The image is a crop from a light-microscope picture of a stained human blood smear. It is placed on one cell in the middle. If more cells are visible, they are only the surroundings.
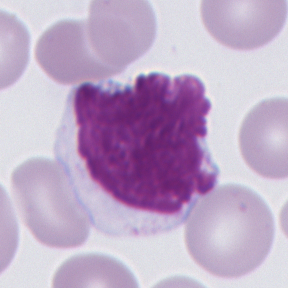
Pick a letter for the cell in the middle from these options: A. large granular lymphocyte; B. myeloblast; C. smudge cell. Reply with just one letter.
C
